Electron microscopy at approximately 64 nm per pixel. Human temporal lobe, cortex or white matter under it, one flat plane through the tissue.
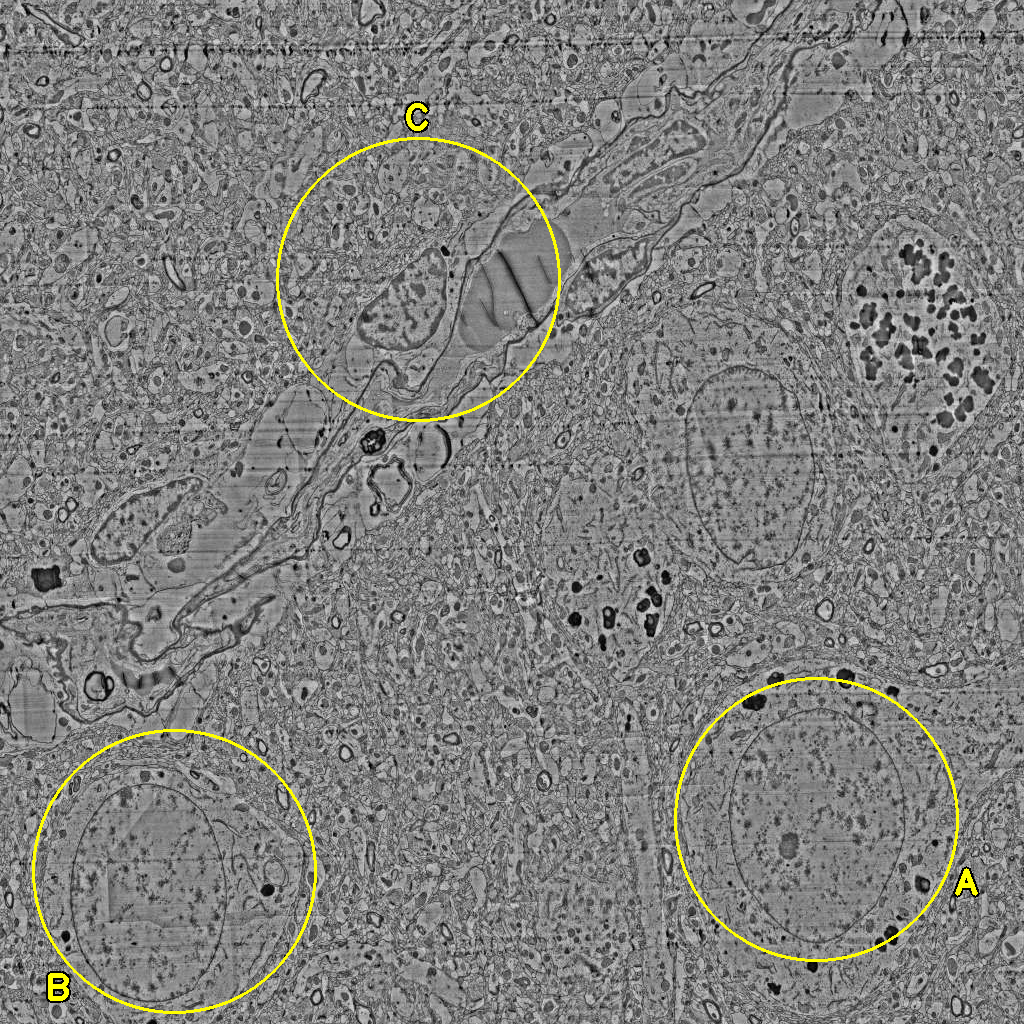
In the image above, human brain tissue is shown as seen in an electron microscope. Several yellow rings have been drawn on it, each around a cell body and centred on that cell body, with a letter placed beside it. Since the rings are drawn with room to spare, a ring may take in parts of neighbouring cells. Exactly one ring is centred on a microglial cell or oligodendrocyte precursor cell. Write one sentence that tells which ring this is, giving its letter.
The ring marked C is centred on it.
